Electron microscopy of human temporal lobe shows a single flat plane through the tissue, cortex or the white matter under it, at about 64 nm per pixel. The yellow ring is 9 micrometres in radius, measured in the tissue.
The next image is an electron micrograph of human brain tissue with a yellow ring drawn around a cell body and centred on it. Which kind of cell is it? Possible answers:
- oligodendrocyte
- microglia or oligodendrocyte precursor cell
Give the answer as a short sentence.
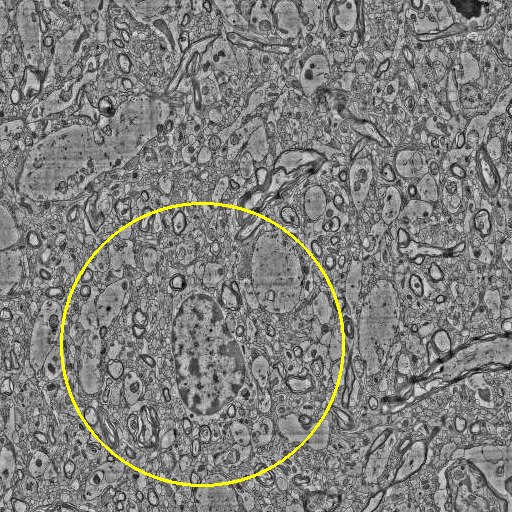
In the ring's centre is a microglial cell or oligodendrocyte precursor cell.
